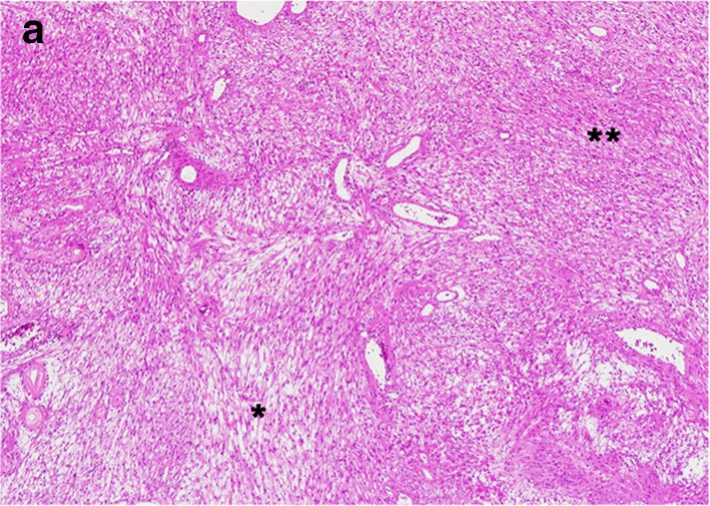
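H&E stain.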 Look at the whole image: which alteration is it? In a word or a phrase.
Biphasic pattern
